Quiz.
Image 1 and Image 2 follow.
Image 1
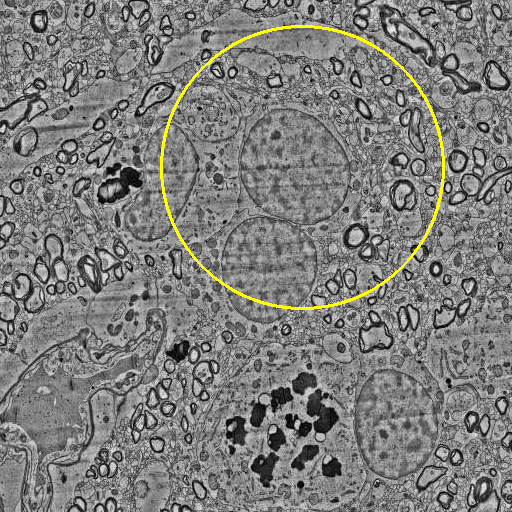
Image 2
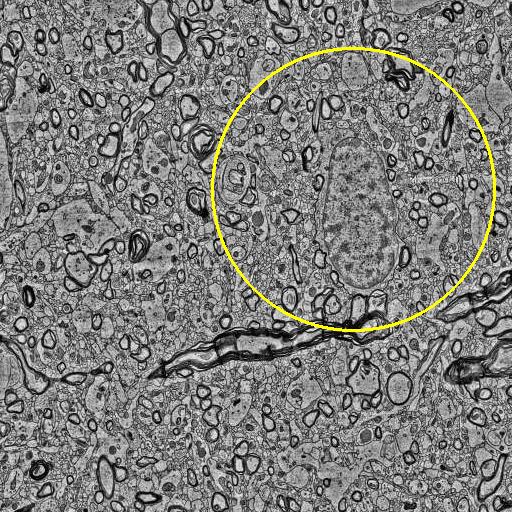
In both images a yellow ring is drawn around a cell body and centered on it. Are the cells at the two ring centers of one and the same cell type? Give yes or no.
yes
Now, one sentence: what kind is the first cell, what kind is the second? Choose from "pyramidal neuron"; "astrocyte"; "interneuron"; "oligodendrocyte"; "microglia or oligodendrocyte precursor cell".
Each of the ringed cells, first and second, is an oligodendrocyte.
